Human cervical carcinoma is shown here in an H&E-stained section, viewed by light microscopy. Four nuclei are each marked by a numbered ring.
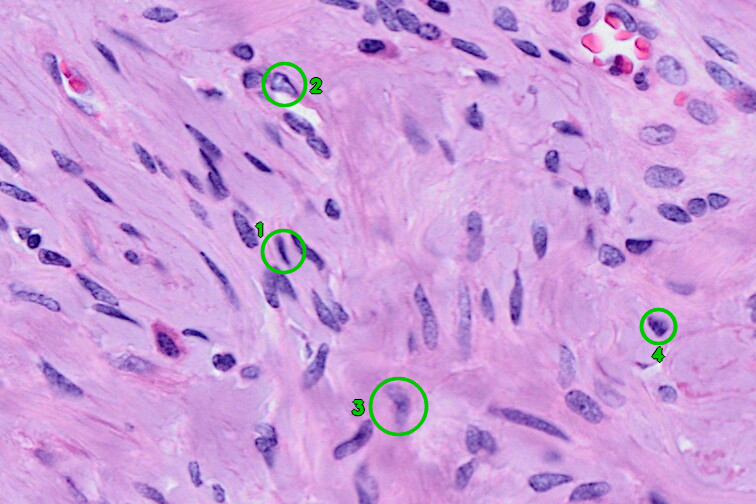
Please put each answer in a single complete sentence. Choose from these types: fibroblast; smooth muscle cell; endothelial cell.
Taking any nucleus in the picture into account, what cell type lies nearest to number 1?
The nucleus nearest to number 1 is that of a fibroblast.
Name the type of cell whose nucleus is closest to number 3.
Closest to number 3 lies the nucleus of a fibroblast.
